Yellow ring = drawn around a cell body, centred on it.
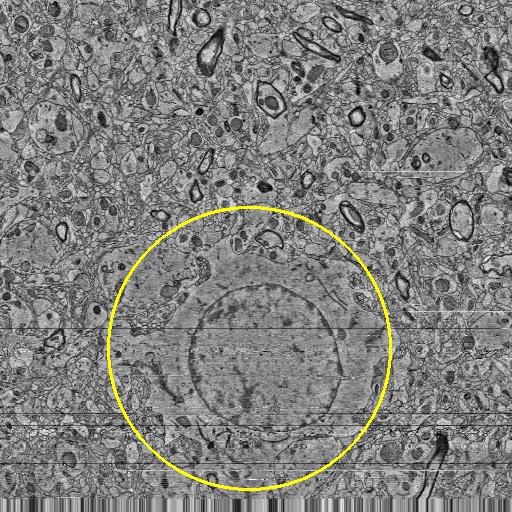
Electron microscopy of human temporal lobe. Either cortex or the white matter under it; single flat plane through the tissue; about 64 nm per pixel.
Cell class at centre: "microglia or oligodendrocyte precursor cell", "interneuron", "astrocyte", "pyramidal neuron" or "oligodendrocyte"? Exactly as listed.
astrocyte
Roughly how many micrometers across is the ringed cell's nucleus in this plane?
Roughly 10 micrometers across in this plane.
